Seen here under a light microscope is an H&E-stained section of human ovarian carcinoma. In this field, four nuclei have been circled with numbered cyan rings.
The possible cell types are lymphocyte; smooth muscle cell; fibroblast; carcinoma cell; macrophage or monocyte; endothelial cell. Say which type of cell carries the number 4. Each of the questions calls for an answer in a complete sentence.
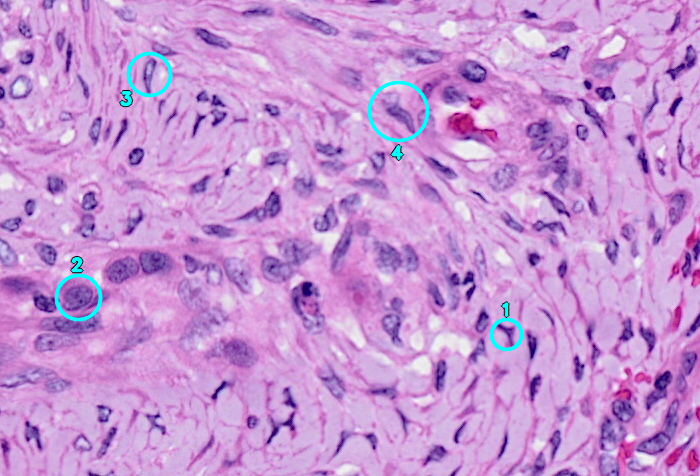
The cell given label 4 is a fibroblast.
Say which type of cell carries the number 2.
In this section, the cell numbered 2 is a carcinoma cell.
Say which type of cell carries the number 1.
Cell 1 in the field is a fibroblast.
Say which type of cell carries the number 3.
The cell that is numbered 3 is a fibroblast.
